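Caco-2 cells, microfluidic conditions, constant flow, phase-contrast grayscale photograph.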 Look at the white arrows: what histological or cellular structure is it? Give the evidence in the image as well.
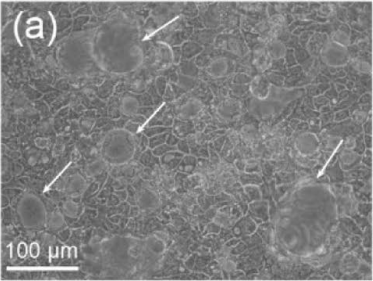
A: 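The arrows point to large round patches standing out of the flat cobblestone monolayer. The patches look out of focus and smooth compared with the sharp cell borders around them.
Hence: domes.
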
